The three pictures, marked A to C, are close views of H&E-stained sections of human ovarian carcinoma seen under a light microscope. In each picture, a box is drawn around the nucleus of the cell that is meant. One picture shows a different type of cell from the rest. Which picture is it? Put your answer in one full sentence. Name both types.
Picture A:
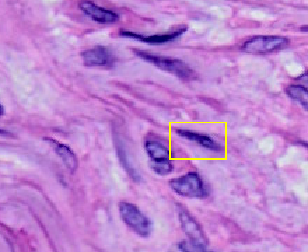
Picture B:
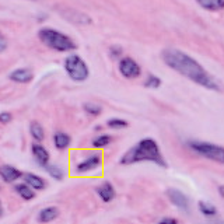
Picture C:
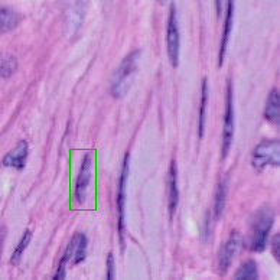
Unlike the rest, which show fibroblasts, picture B shows a smooth muscle cell.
